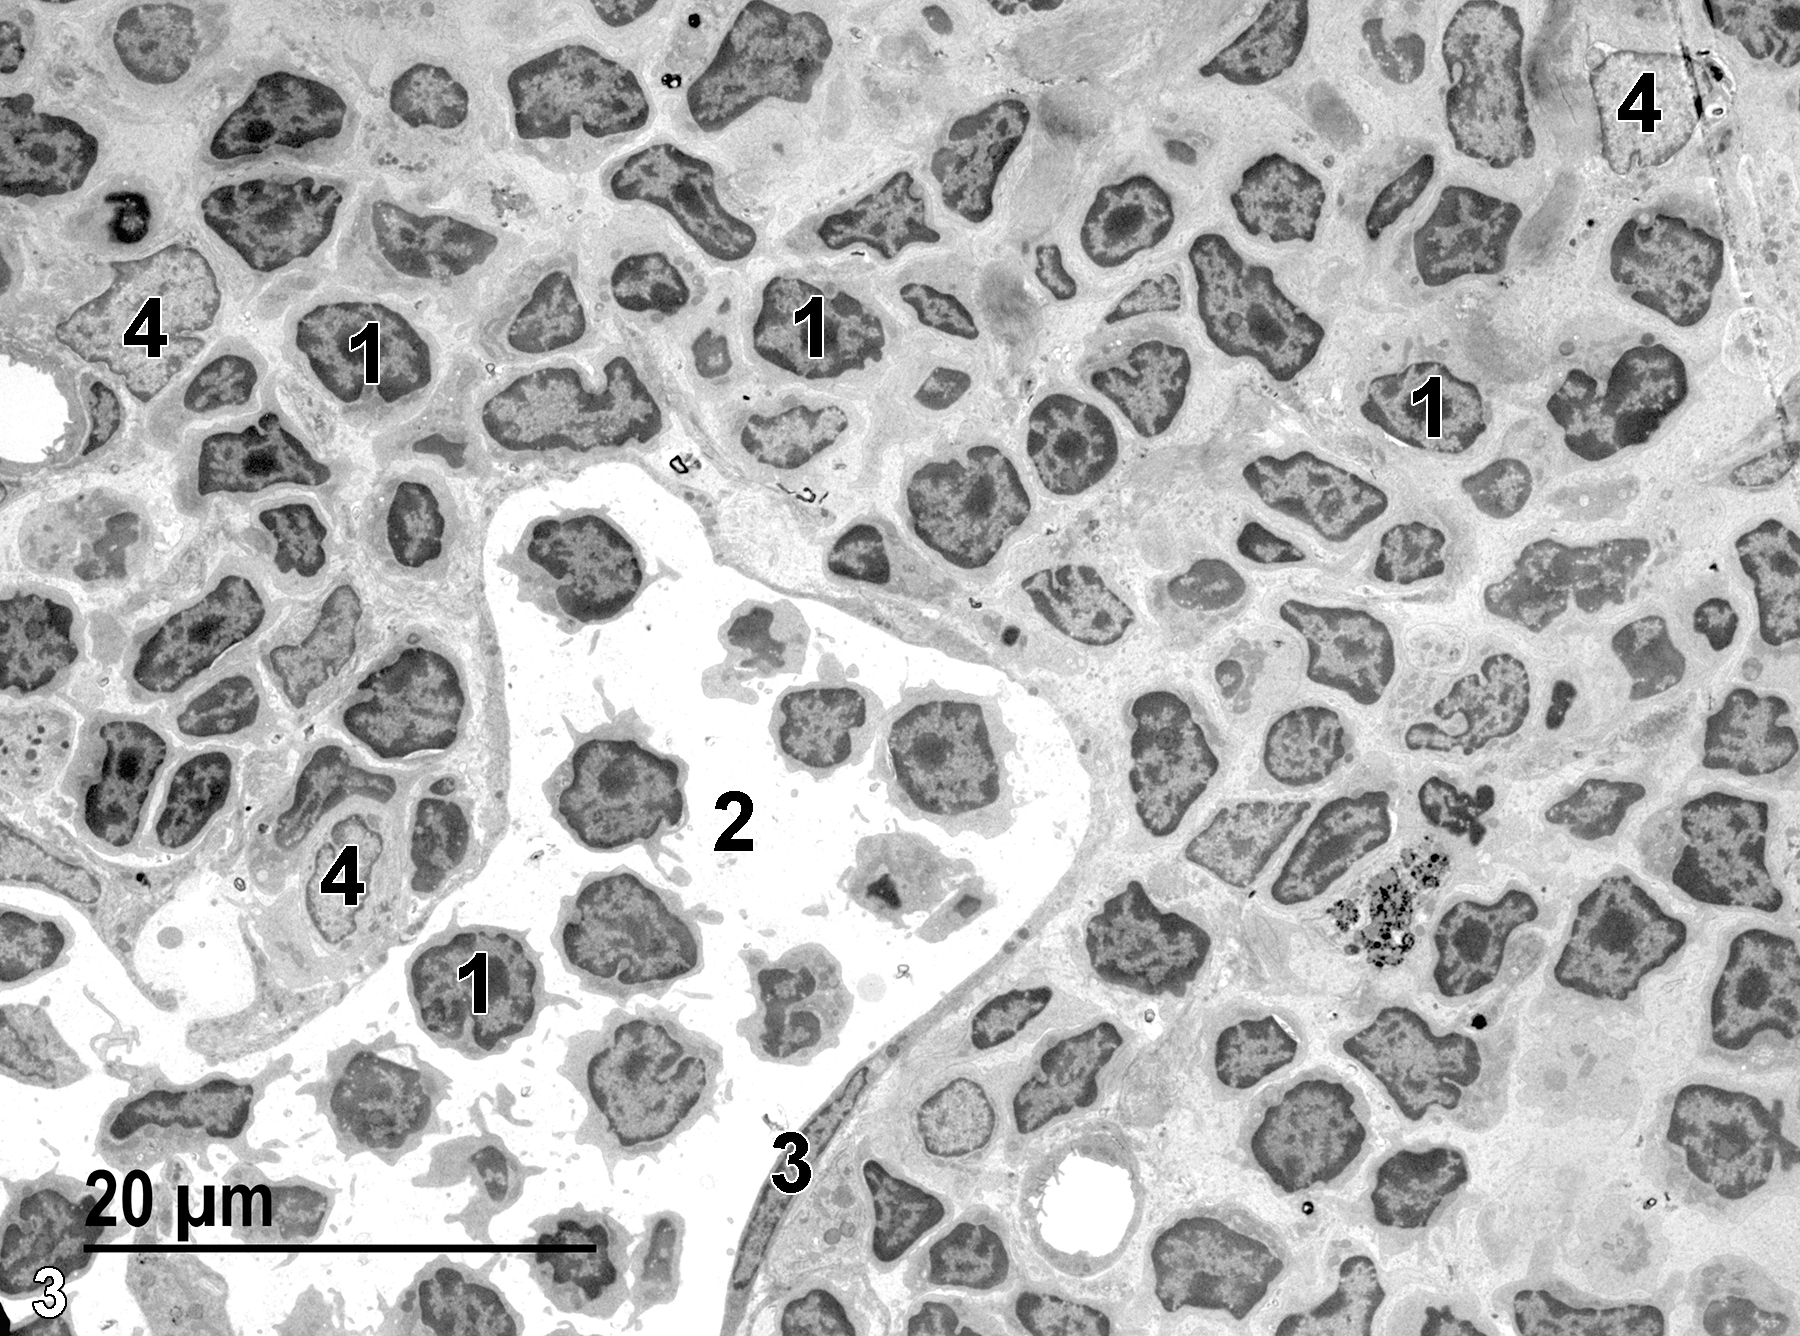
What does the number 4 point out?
reticular epithelial cells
